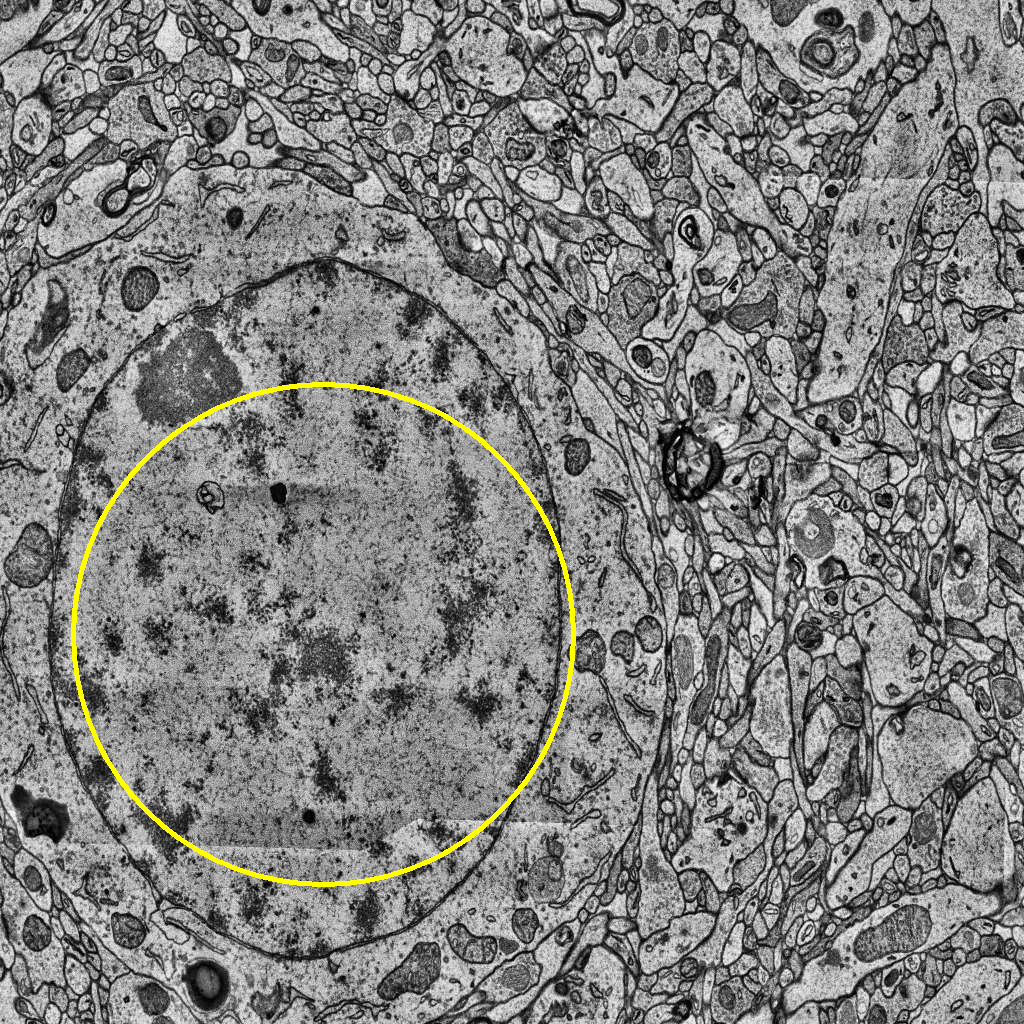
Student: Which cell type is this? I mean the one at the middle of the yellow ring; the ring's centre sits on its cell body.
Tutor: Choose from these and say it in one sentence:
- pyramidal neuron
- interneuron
The cell at the ring's centre is a pyramidal neuron.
